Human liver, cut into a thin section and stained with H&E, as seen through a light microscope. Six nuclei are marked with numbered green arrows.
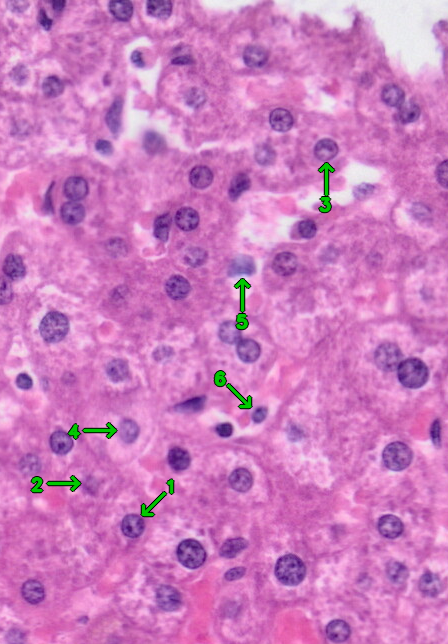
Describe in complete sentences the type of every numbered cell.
Cells 1, 2, 3 and 4 are hepatocytes. Cell 5 is an endothelial cell. Cell 6 is a lymphocyte.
